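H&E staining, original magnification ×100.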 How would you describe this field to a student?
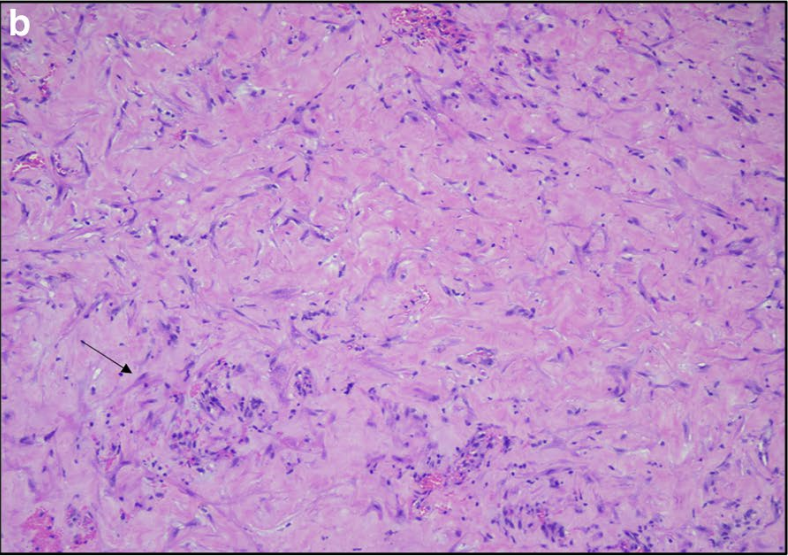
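This is a cellular fibrous tissue in which fibroblasts with elongated, spindle-shaped purple nuclei lie scattered through a pale pink collagenous matrix. The spindle cells run in loose, wavy, criss-crossing directions rather than in orderly bundles. In places smaller, rounder and darker nuclei gather in small clusters, in keeping with inflammatory cells. Small vessels packed with red blood cells appear as bright red patches among the fibres.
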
